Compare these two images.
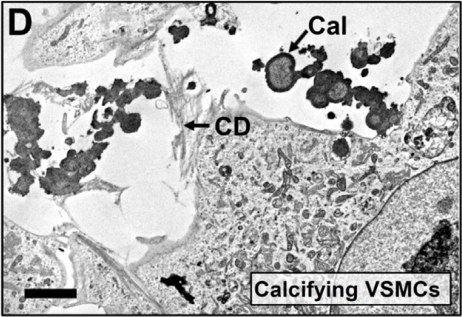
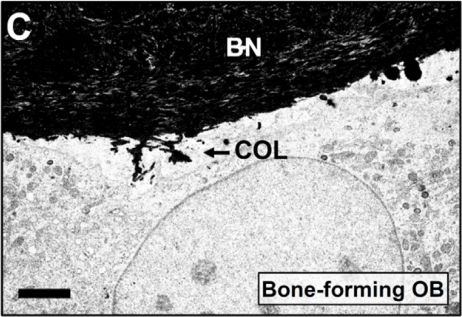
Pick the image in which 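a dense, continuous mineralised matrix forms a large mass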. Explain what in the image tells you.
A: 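The second image. Second image: a broad, uniformly electron-dark band of fibrous mineralised matrix fills the top of the field.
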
